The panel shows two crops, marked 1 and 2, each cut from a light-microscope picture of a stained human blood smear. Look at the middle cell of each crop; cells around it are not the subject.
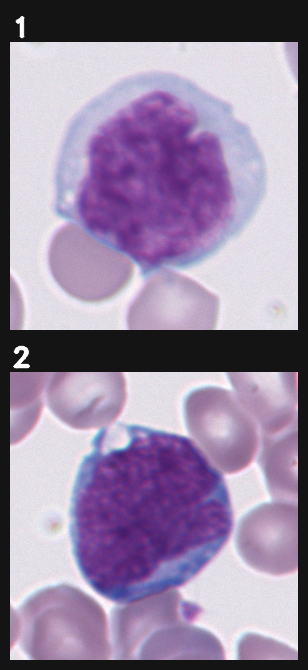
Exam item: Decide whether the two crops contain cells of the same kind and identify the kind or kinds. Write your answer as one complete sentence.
Yes, both crops contain myeloblasts at their centres.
